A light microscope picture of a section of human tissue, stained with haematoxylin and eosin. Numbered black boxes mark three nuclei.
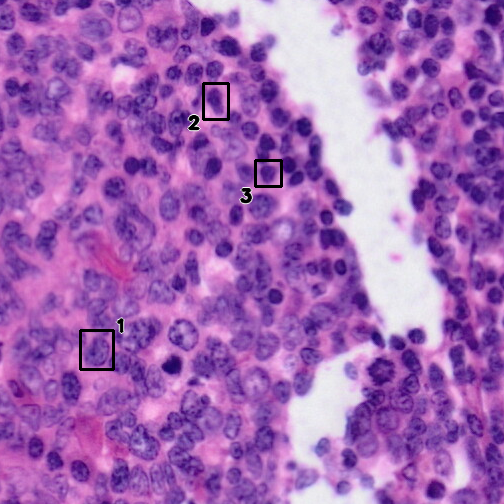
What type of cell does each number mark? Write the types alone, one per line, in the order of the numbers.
proliferating B cell
small lymphocyte
small lymphocyte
